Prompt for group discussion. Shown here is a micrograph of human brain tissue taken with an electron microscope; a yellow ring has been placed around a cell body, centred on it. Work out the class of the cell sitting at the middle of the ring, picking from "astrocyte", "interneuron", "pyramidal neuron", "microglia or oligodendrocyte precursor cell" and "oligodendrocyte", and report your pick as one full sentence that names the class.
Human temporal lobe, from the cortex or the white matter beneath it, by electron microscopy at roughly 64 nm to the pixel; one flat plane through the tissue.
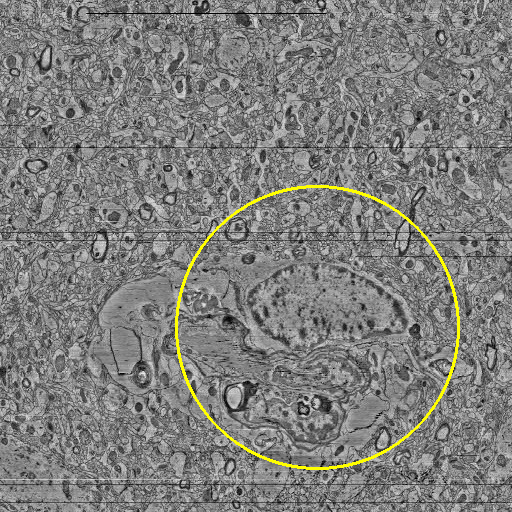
The cell sitting at the middle of the yellow ring is a microglial cell or oligodendrocyte precursor cell.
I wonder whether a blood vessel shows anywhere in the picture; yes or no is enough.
Yes, a blood vessel shows in the picture.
